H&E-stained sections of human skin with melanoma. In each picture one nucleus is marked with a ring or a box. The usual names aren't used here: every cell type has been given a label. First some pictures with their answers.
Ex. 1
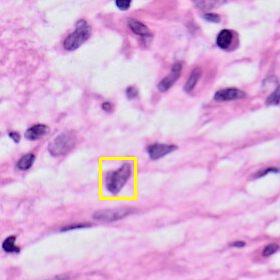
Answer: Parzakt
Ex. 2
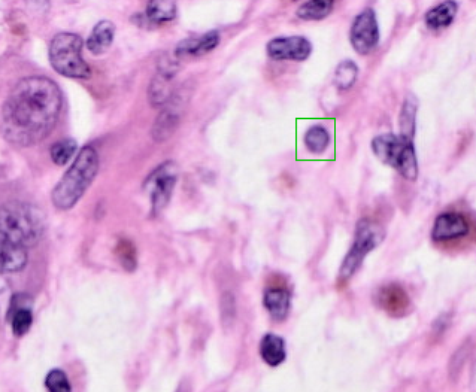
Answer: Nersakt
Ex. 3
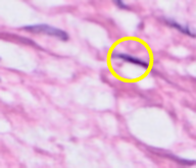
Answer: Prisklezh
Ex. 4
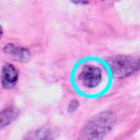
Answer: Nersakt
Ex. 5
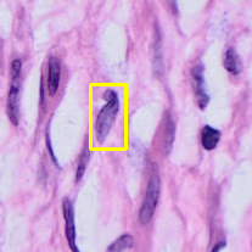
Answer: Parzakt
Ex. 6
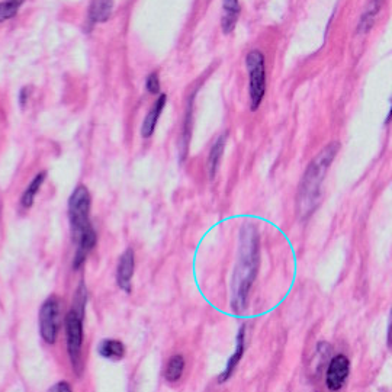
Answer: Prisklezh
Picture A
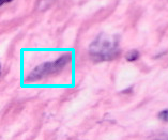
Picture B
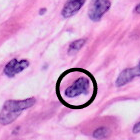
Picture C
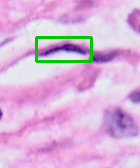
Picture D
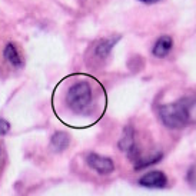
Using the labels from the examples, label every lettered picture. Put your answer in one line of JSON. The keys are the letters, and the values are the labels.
{"A": "Prisklezh", "B": "Nersakt", "C": "Prisklezh", "D": "Parzakt"}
